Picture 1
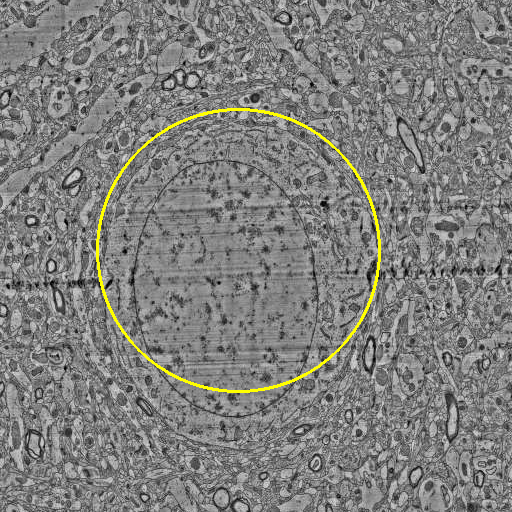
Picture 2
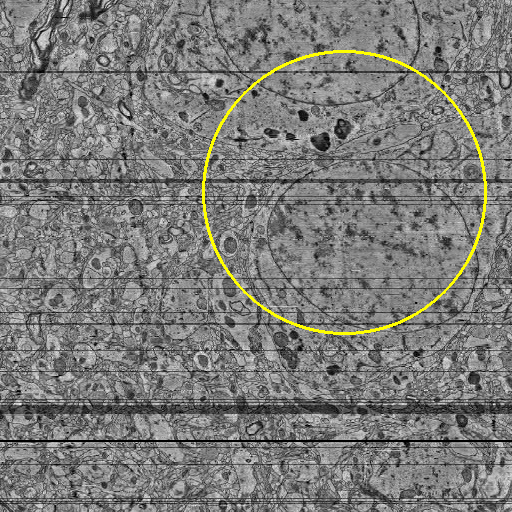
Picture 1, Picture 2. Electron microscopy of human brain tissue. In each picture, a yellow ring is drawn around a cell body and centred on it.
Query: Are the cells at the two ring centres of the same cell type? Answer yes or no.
yes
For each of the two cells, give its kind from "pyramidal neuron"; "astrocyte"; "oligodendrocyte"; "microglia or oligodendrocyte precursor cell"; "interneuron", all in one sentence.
In the first picture and in the second, the ring is centred on a pyramidal neuron.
